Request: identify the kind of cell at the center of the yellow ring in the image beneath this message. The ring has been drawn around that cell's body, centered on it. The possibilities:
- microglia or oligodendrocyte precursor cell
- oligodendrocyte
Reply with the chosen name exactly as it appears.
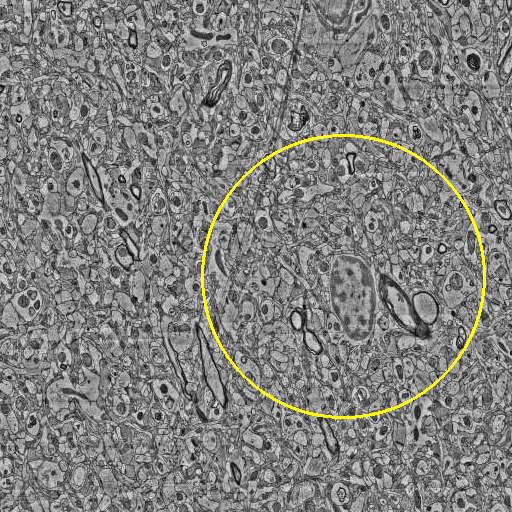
microglia or oligodendrocyte precursor cell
